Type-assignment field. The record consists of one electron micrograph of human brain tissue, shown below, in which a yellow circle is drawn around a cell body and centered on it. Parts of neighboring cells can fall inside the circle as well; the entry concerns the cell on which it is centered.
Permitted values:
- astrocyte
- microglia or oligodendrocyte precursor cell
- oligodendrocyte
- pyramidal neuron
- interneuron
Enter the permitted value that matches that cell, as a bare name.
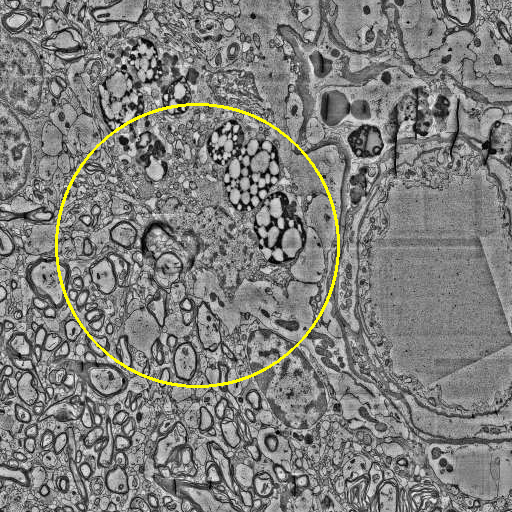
astrocyte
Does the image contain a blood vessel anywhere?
Yes, one is visible.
